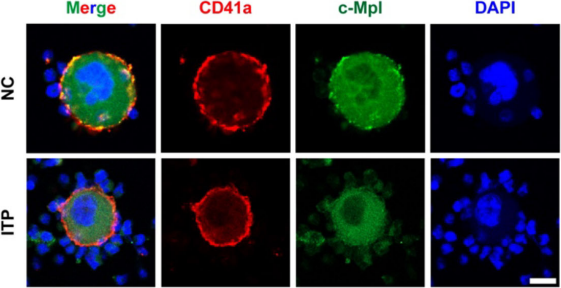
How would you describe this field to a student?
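Two large round megakaryocytes are shown, one per row, split into merged, red, green and blue channels. Each holds a large blue nucleus within a broad rim of cytoplasm. Red marks the outer edge of each cell as a dotted ring, while green fills the cytoplasm diffusely and also lines the edge. Many small cells with compact round blue nuclei crowd around the large cells.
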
